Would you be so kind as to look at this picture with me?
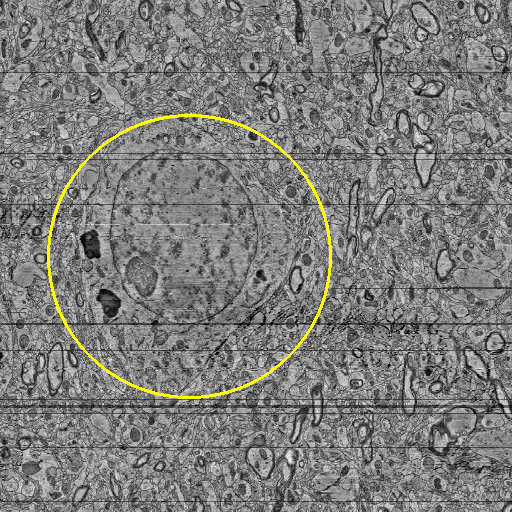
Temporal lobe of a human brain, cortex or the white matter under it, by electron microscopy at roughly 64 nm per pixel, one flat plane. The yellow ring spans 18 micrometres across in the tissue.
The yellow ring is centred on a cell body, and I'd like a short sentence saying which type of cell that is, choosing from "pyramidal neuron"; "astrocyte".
The cell body in the ring belongs to a pyramidal neuron.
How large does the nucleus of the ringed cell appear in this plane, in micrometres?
In this plane, the nucleus of the cell at the centre of the ring measures about 12 by 10 micrometres.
